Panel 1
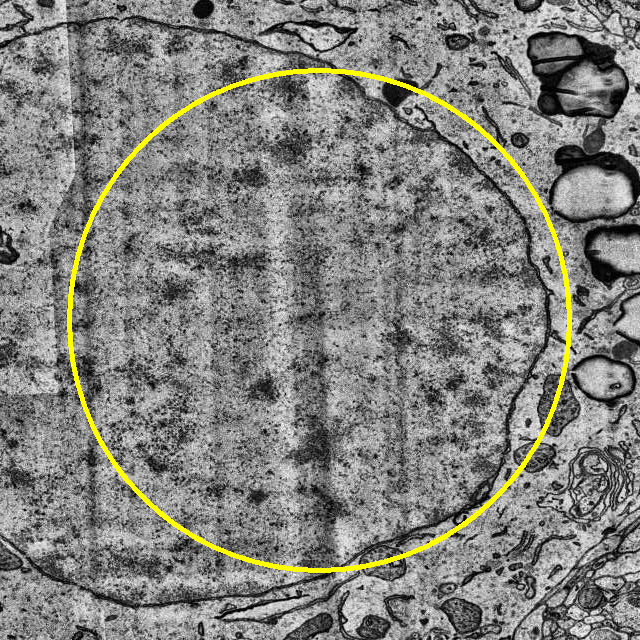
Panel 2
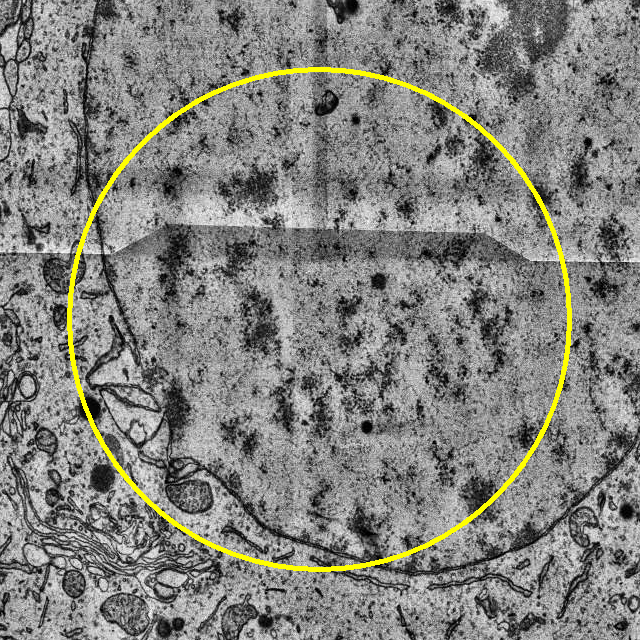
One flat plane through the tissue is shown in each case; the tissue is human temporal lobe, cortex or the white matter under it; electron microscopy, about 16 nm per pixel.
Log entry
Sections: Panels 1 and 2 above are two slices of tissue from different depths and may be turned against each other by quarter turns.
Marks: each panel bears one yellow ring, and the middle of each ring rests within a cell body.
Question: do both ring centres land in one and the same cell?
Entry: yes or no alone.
no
